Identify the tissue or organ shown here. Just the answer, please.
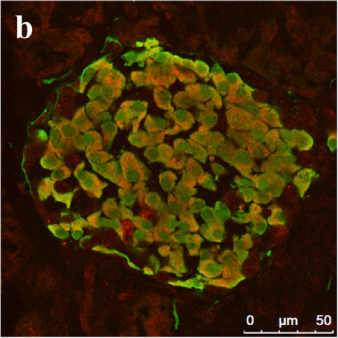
Islets.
